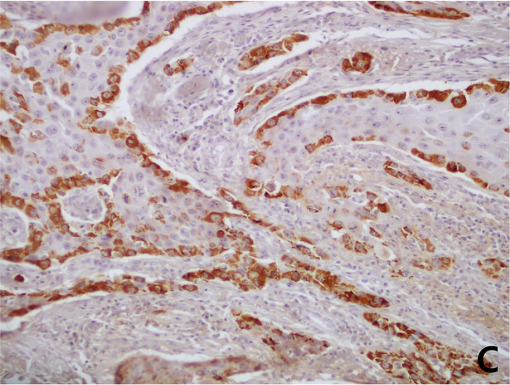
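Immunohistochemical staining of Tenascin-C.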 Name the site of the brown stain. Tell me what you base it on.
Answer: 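Cancer invasion front. The centres of the nests are pale.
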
